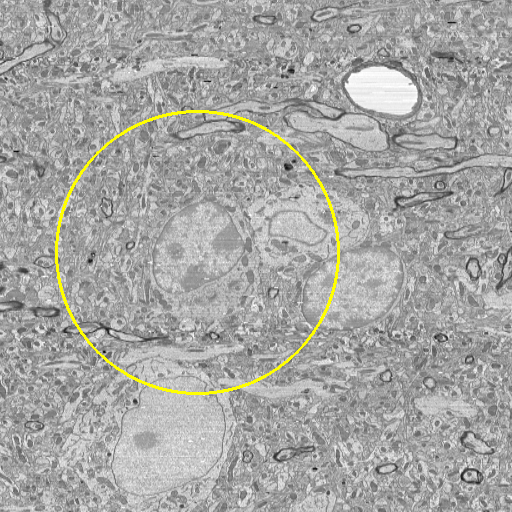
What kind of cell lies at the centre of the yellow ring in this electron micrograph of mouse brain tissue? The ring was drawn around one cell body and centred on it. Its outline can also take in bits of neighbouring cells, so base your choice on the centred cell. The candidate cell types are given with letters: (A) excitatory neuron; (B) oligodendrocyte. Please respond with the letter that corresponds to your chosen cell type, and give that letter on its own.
B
